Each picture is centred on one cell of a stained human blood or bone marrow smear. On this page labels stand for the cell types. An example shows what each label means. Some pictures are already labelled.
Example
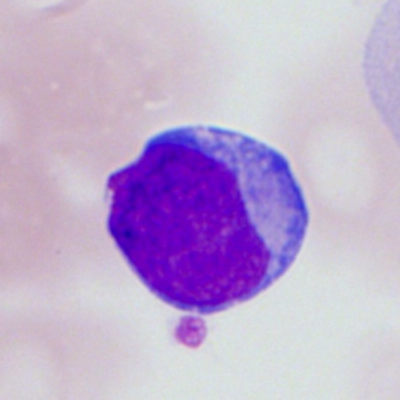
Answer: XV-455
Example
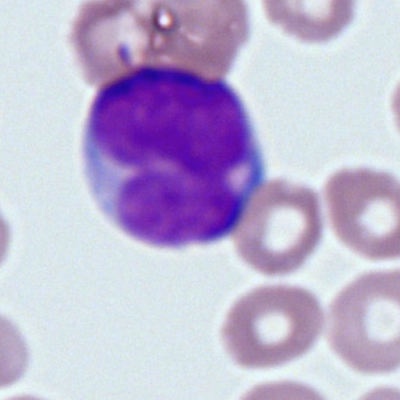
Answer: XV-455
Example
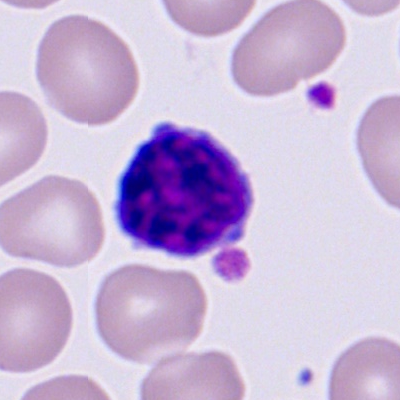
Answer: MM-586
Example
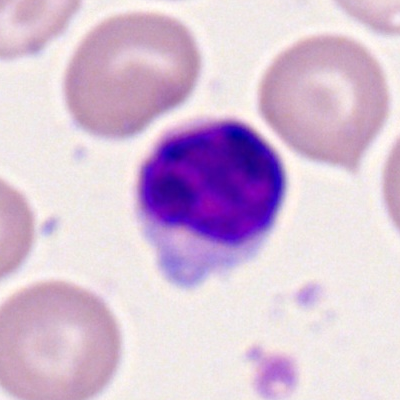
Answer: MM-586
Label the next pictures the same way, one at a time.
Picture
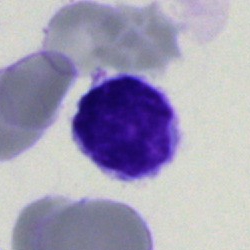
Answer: MM-586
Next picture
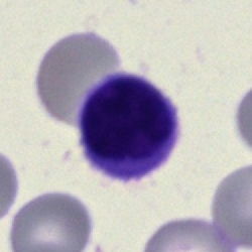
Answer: MM-586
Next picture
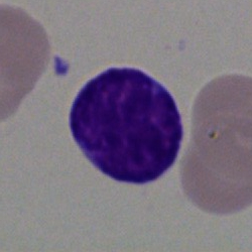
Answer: XV-455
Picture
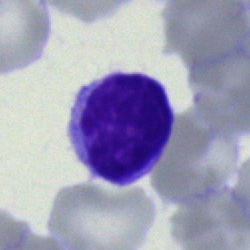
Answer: MM-586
